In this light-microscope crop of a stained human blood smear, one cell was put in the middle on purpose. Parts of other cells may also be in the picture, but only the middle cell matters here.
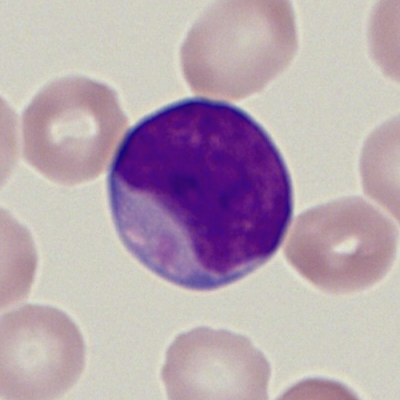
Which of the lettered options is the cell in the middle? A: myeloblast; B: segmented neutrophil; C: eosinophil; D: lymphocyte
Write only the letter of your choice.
A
